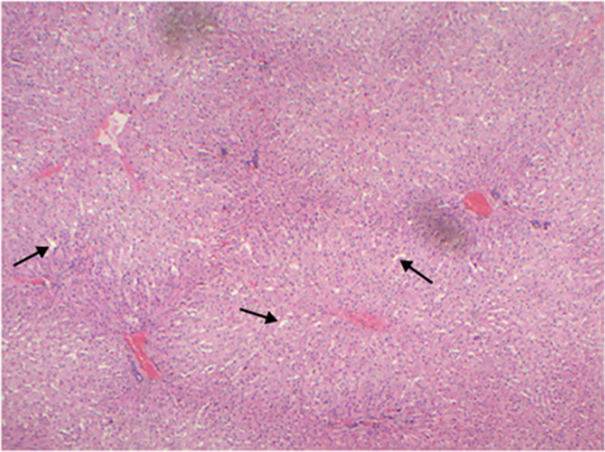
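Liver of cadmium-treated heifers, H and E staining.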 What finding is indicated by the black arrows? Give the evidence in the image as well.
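The arrows point to small white slit-like spaces within the pink parenchyma. Many such pale streaks are scattered through the tissue. The answer: expanded hepatic sinusoids.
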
